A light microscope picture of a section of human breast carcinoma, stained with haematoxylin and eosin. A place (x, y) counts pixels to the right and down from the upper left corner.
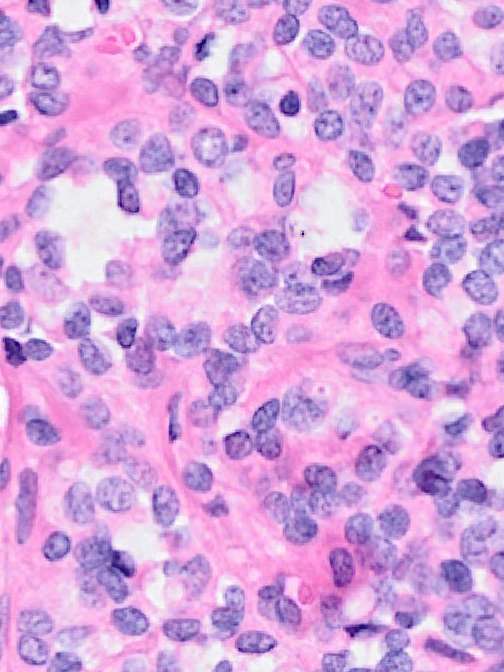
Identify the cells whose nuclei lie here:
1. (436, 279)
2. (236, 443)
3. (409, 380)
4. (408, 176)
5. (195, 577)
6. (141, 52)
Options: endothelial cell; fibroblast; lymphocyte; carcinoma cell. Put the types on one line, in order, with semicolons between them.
carcinoma cell; carcinoma cell; endothelial cell; carcinoma cell; carcinoma cell; endothelial cell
